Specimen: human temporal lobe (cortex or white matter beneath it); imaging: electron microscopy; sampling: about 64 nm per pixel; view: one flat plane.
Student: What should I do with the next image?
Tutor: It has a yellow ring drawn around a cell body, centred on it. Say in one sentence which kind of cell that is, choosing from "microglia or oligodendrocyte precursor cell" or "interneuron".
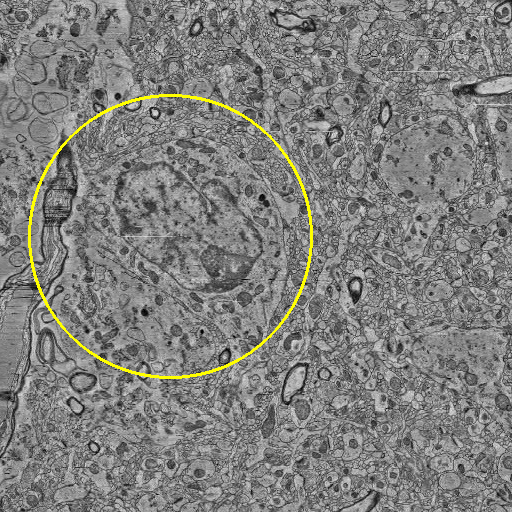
The ring's centre is occupied by an interneuron.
